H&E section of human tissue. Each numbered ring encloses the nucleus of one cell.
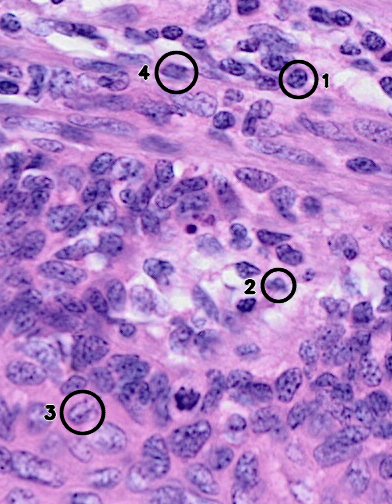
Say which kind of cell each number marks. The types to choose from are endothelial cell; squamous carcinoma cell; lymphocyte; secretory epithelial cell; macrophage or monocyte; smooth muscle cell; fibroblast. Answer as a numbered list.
1. lymphocyte
2. lymphocyte
3. squamous carcinoma cell
4. lymphocyte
